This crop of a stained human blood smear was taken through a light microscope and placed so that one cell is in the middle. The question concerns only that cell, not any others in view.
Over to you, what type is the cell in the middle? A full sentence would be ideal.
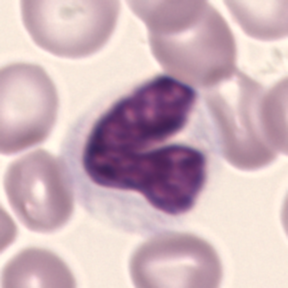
The centrally located cell in the crop is a band neutrophil.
